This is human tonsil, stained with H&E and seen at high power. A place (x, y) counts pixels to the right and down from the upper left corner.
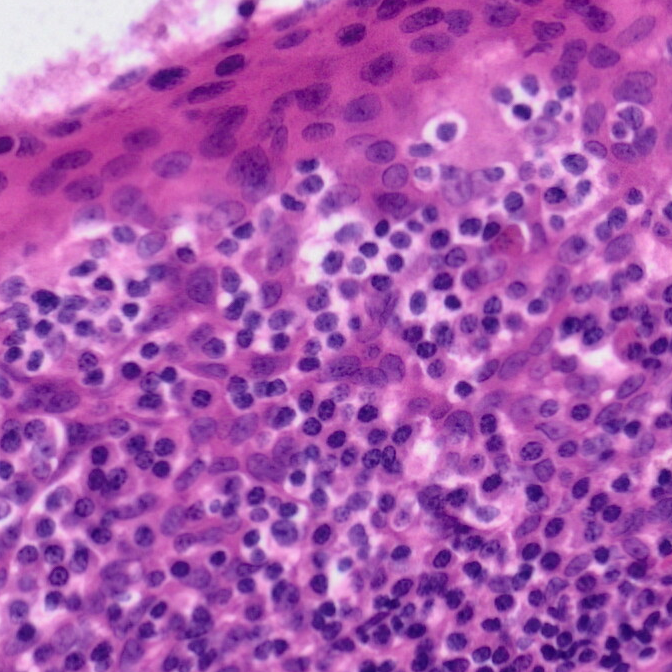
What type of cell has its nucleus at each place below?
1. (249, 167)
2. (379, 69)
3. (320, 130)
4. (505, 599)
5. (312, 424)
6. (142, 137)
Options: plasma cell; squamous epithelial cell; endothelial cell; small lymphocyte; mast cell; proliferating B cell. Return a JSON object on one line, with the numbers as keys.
{"1": "squamous epithelial cell", "2": "squamous epithelial cell", "3": "squamous epithelial cell", "4": "plasma cell", "5": "plasma cell", "6": "squamous epithelial cell"}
